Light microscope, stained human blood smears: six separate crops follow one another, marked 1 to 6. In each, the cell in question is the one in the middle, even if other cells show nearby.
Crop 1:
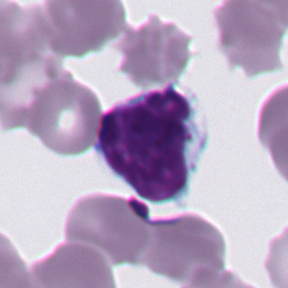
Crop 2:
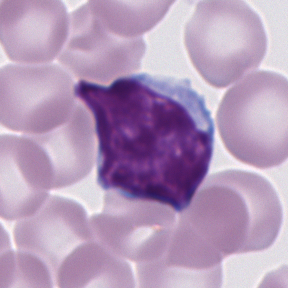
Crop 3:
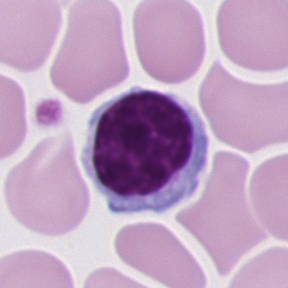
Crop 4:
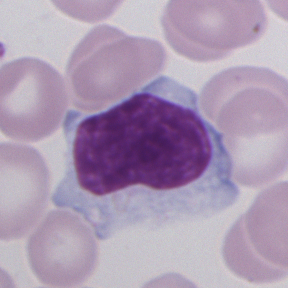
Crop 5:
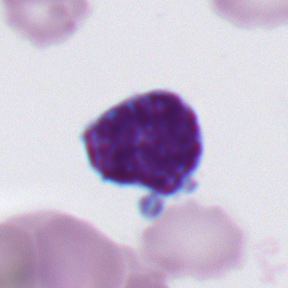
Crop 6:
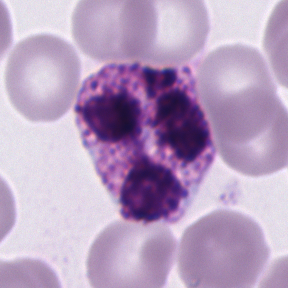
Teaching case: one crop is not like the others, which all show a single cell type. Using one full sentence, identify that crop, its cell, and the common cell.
Crop 6 is the only one that is a basophil; all the others show typical lymphocytes.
